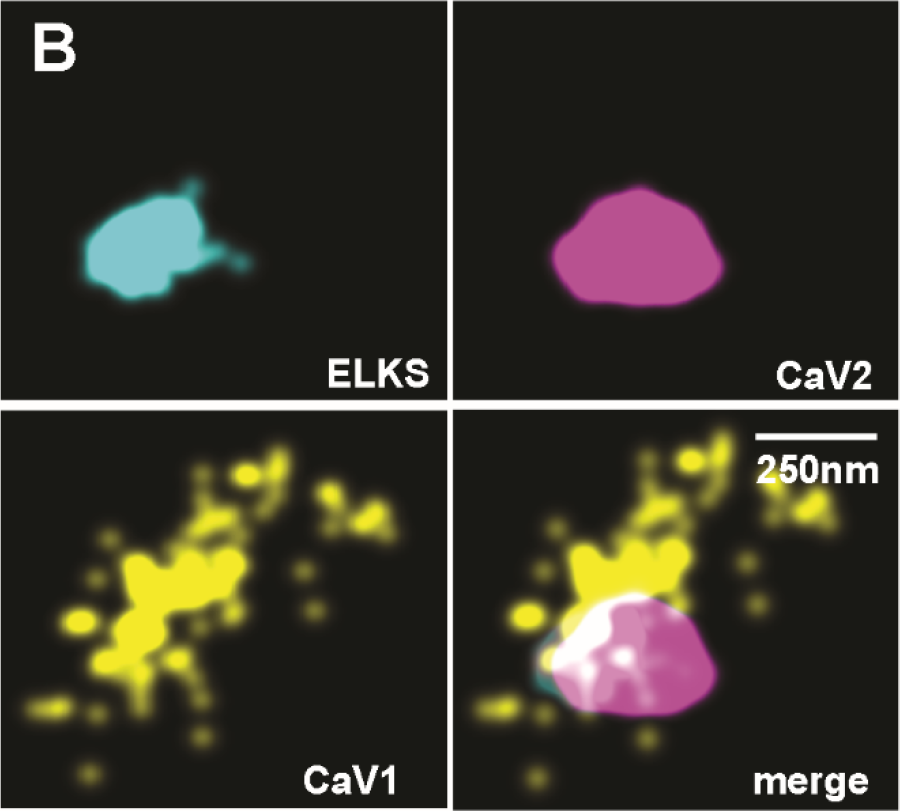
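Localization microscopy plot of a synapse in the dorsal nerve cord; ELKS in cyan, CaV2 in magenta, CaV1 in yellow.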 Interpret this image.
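The cyan signal forms one compact, rounded cluster with a short thin extension to one side. The yellow signal is quite different: it is made of many small separate spots and larger irregular patches scattered widely around, lying mostly beside and above the compact cluster rather than on it.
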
